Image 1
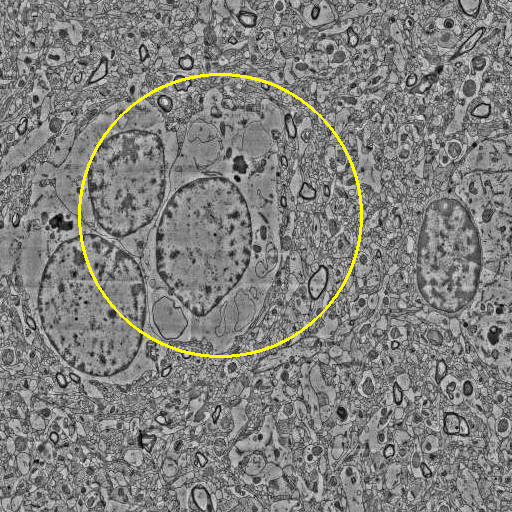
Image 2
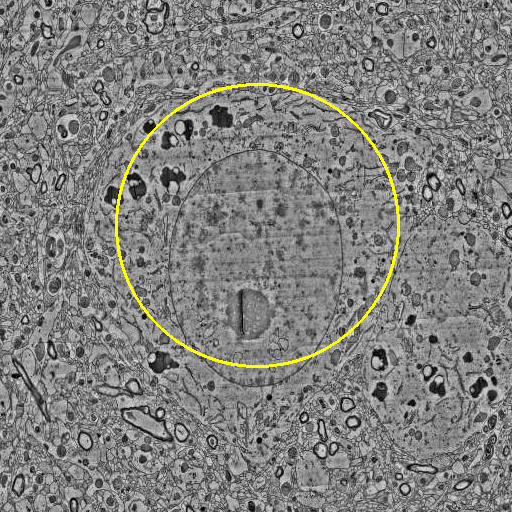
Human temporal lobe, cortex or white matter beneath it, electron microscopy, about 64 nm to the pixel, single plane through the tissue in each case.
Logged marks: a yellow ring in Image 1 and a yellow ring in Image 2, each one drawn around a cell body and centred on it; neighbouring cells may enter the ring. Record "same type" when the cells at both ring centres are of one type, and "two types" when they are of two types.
two types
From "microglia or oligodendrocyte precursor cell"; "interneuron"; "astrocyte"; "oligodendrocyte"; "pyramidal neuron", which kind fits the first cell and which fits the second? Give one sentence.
The cell marked in the first picture is an astrocyte, and the one marked in the second is a pyramidal neuron.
